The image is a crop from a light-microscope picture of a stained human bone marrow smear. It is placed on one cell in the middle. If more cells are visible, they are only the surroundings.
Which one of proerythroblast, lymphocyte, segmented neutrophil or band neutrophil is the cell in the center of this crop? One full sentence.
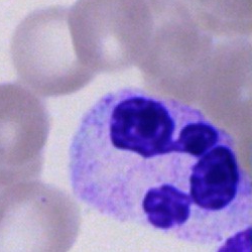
For this crop, the central cell is a segmented neutrophil.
